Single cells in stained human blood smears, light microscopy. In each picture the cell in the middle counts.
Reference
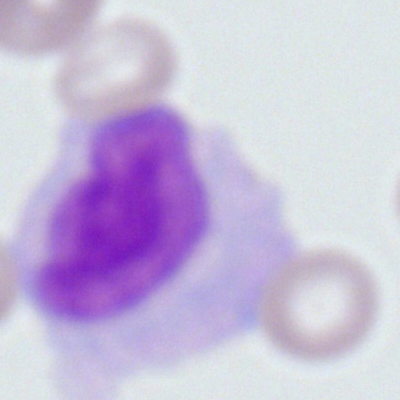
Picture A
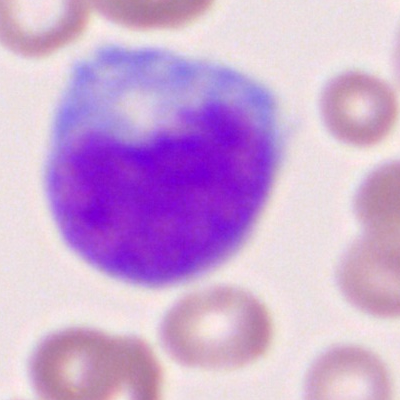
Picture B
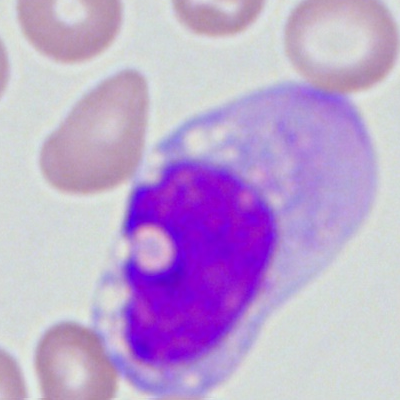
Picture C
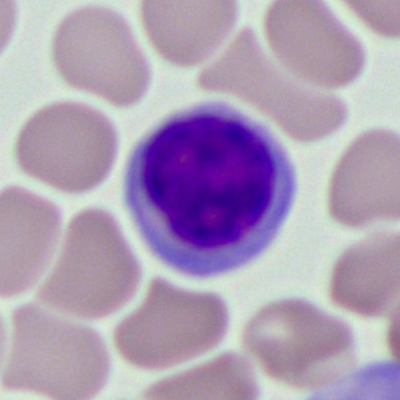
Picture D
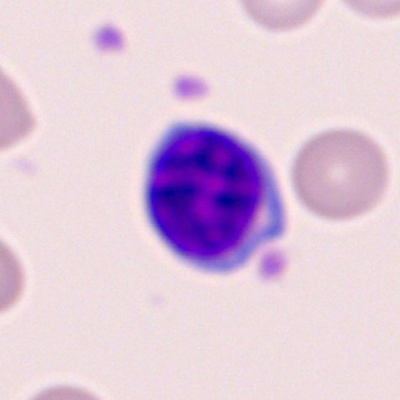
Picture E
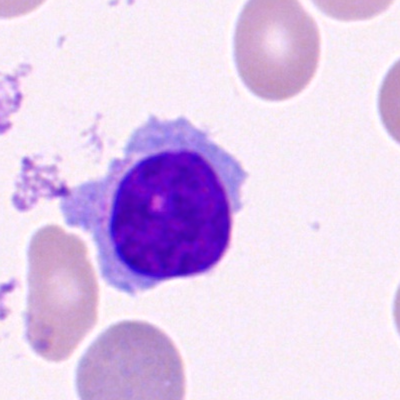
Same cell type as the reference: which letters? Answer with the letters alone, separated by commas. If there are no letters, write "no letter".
A, B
